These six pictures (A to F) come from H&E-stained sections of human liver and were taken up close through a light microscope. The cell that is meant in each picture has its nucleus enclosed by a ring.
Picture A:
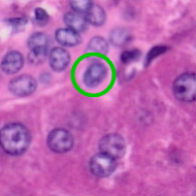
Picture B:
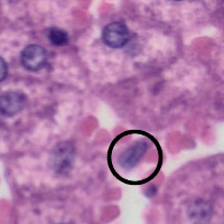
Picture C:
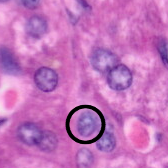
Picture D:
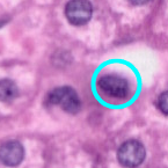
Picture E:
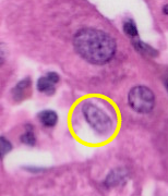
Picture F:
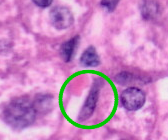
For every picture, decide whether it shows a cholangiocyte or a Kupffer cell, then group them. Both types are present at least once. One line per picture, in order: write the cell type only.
cholangiocyte
Kupffer cell
cholangiocyte
Kupffer cell
Kupffer cell
Kupffer cell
